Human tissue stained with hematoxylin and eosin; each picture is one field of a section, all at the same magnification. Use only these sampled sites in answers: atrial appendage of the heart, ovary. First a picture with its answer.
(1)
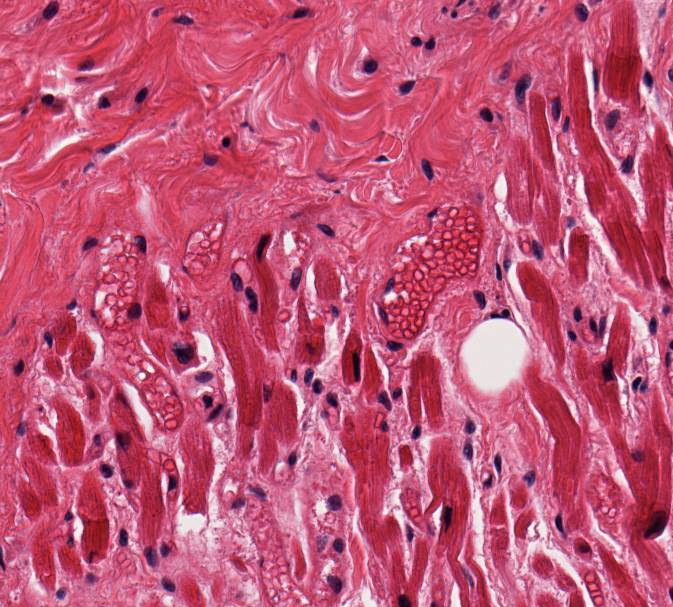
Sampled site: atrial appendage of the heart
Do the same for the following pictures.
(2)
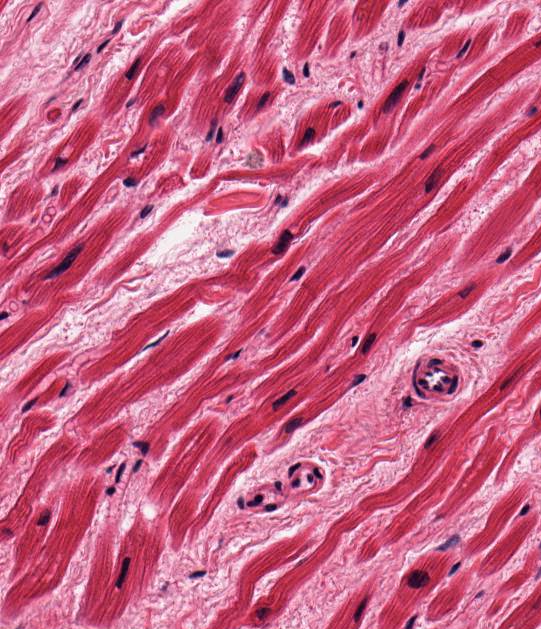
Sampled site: atrial appendage of the heart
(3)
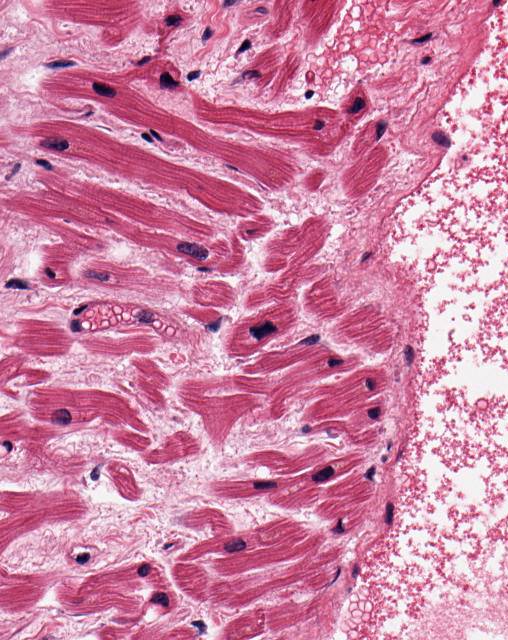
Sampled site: atrial appendage of the heart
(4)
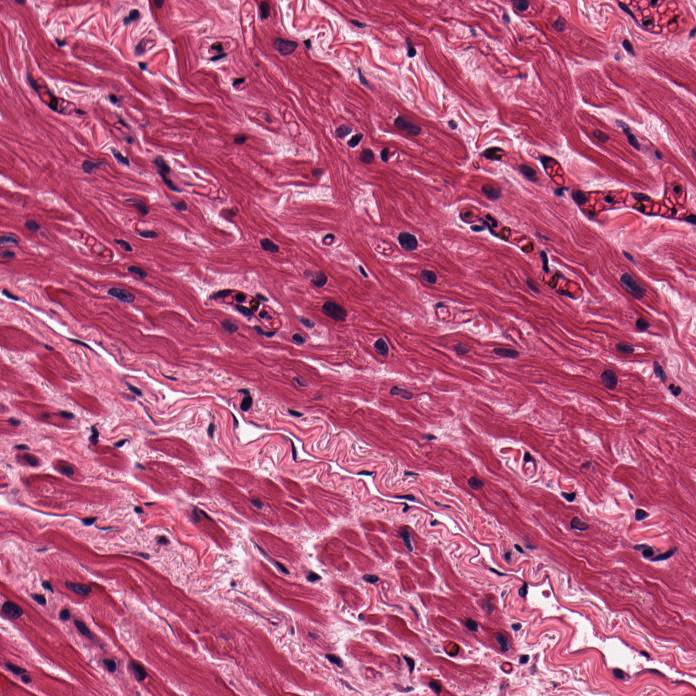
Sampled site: atrial appendage of the heart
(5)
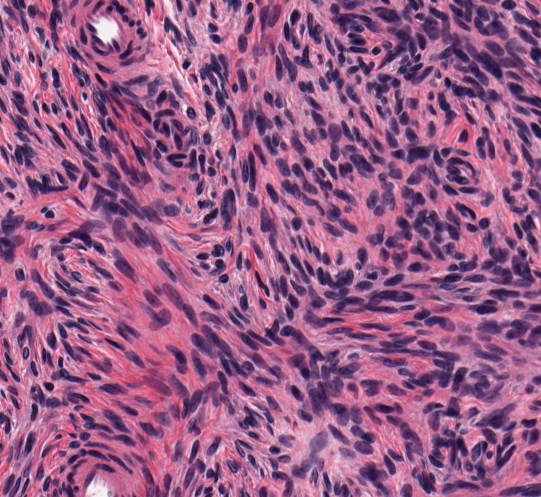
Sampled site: ovary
